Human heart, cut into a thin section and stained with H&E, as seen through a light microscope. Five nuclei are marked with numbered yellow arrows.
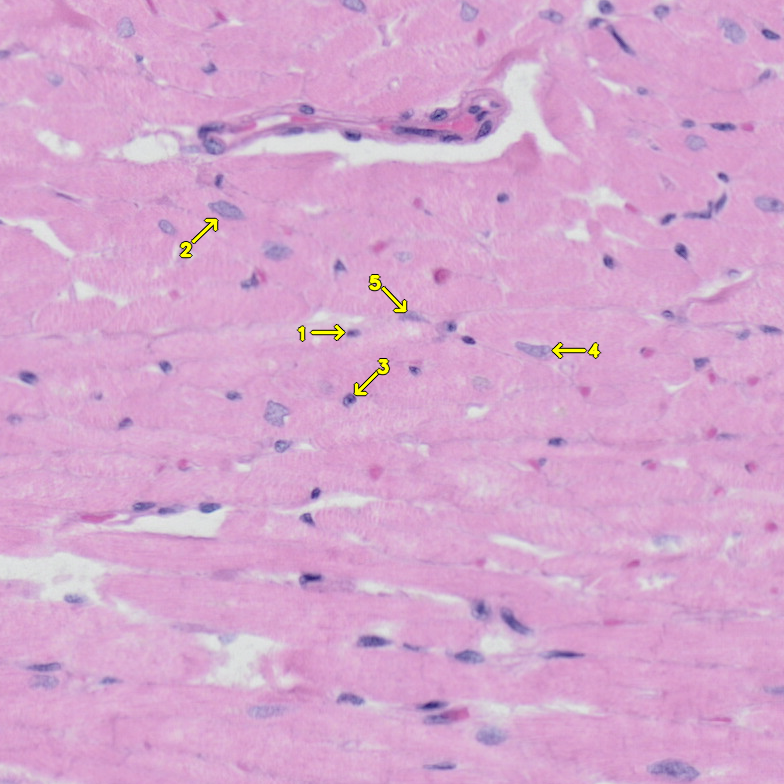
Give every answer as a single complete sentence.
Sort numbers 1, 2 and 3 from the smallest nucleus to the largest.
From smallest to largest, the order is 1, 3, 2.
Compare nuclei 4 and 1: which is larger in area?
It is nucleus 4, which covers about 3 times the area of nucleus 1.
